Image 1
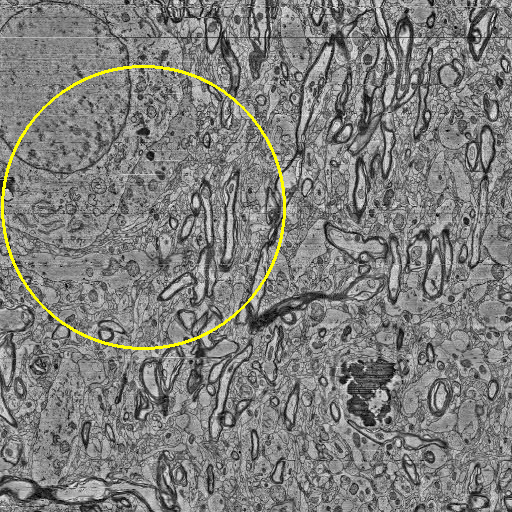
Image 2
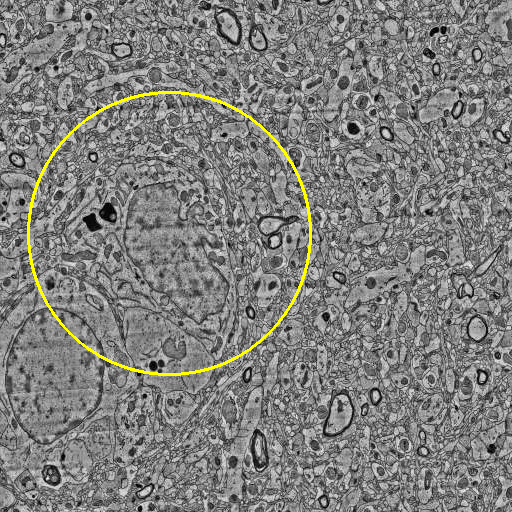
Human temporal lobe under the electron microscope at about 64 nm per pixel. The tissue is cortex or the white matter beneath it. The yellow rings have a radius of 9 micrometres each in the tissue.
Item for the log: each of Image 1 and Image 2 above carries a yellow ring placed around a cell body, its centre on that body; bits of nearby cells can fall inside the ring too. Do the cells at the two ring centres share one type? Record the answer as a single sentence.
No, the two cells at the ring centres in Image 1 and Image 2 are of two types.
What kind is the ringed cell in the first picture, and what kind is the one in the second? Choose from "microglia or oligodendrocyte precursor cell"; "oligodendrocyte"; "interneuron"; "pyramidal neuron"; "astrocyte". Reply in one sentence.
The first cell is an oligodendrocyte; the second is an interneuron.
